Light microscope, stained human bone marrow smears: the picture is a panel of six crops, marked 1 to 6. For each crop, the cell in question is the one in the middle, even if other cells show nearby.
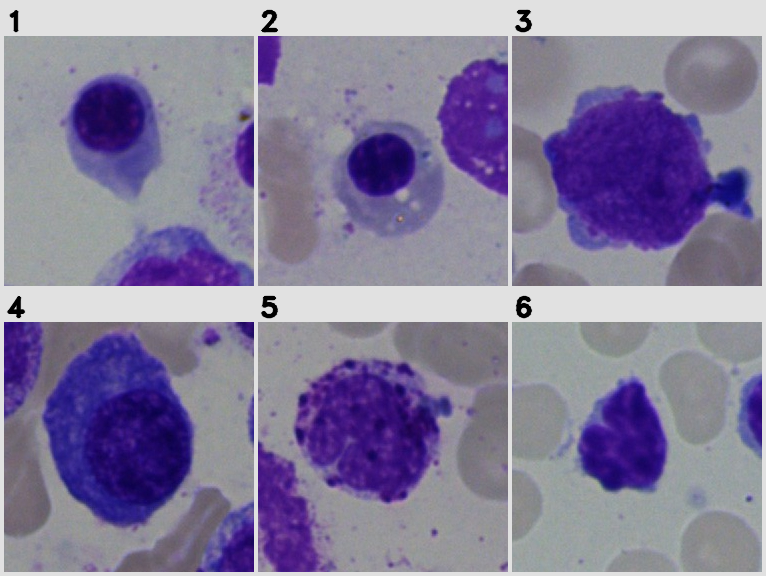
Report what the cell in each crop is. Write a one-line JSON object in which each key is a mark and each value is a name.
{"1": "erythroblast", "2": "erythroblast", "3": "blast", "4": "plasma cell", "5": "basophil", "6": "lymphocyte"}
